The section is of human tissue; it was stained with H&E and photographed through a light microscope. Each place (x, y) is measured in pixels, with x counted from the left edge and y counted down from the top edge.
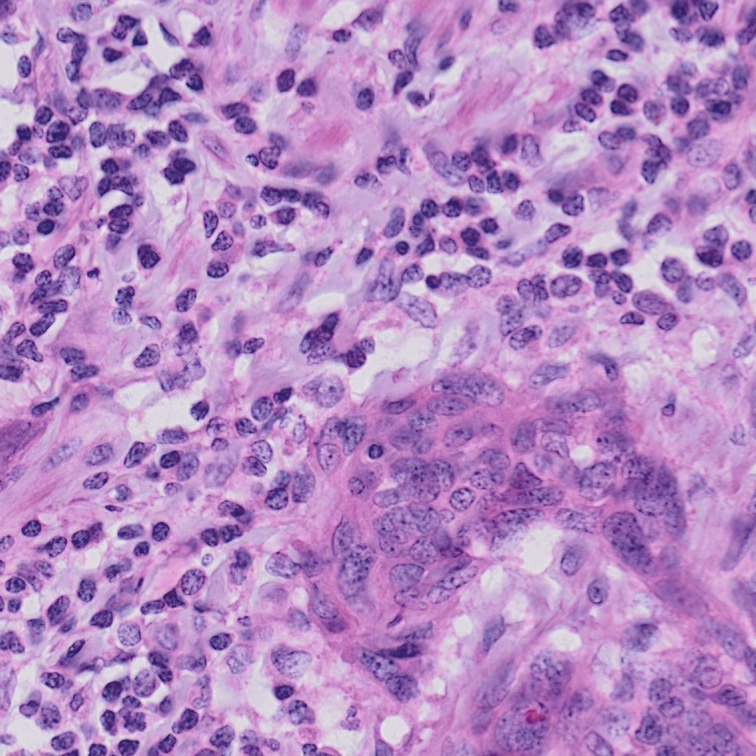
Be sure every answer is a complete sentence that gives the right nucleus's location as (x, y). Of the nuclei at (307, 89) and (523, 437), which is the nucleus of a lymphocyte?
Of the two nuclei, it is the one at (307, 89) that lies within a lymphocyte.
